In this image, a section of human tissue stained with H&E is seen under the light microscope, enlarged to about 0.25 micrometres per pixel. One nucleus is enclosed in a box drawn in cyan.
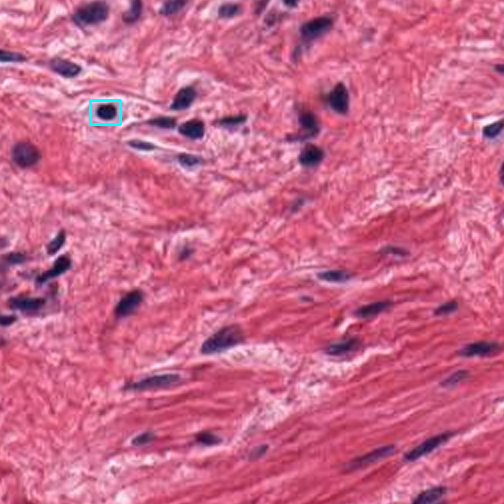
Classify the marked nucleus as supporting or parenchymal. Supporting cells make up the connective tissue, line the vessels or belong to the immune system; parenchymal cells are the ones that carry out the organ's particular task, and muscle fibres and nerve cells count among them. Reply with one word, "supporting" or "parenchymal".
supporting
